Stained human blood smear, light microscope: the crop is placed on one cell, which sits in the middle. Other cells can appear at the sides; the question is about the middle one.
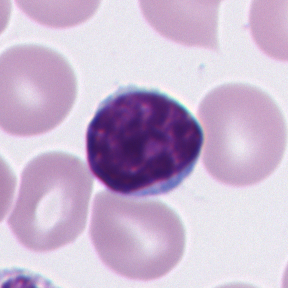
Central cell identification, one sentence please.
Here the cell in the middle is a typical lymphocyte.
